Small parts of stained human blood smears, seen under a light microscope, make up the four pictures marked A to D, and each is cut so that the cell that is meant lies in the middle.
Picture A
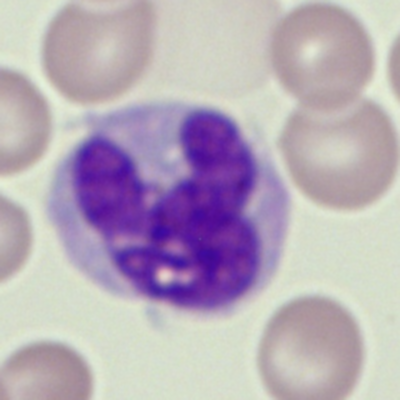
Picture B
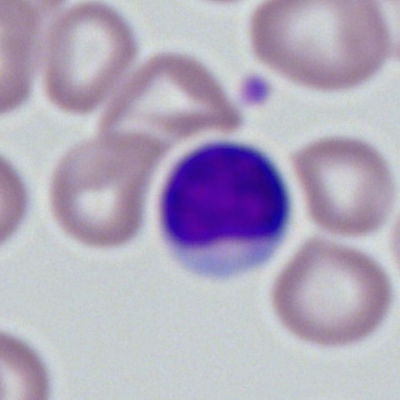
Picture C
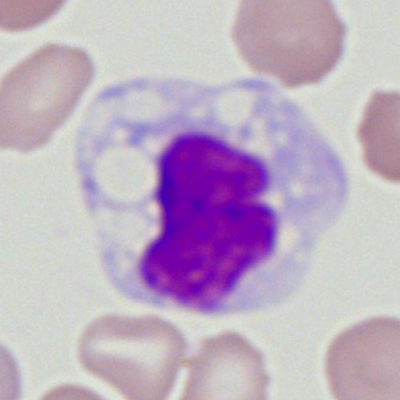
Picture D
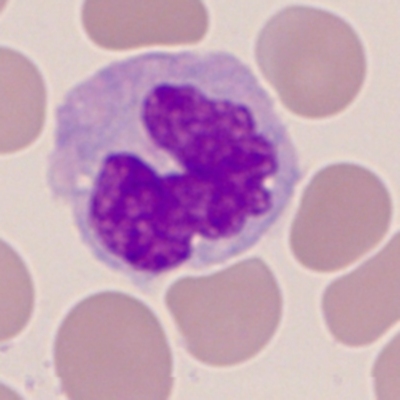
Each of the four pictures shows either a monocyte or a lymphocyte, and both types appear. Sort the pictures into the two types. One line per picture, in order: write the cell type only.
monocyte
lymphocyte
monocyte
monocyte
